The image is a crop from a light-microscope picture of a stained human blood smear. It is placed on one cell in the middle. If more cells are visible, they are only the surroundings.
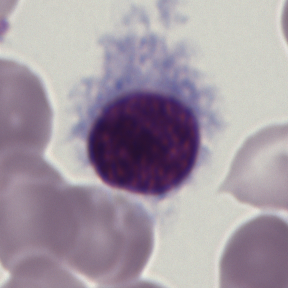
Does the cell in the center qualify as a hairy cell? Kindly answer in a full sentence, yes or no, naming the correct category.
Yes, the cell found at the centre of the crop is a hairy cell.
